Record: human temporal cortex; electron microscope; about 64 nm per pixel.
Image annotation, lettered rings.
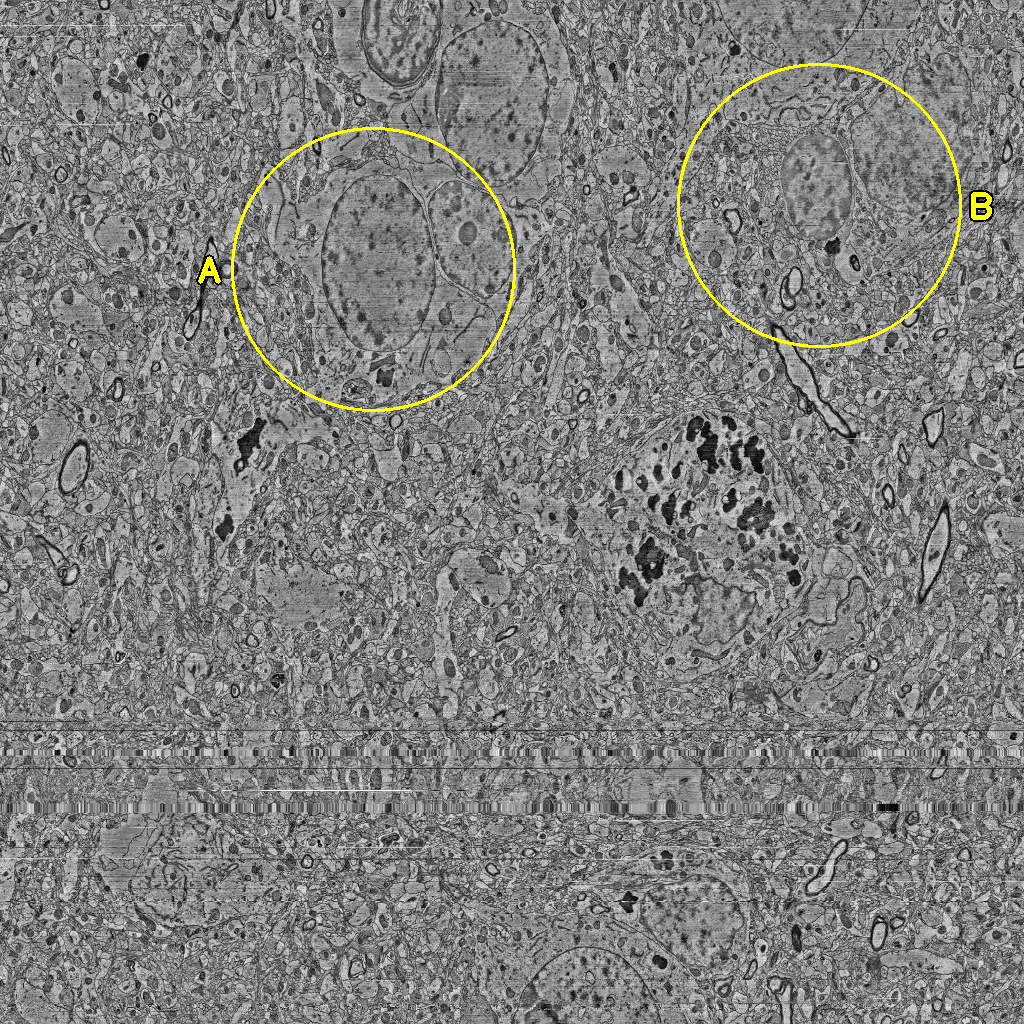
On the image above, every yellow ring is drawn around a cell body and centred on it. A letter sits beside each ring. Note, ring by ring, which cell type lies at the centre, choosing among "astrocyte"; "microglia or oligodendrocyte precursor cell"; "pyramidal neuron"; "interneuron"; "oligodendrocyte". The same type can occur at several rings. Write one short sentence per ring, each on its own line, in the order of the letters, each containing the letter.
Ring A has an astrocyte at its centre.
Ring B has an oligodendrocyte at its centre.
